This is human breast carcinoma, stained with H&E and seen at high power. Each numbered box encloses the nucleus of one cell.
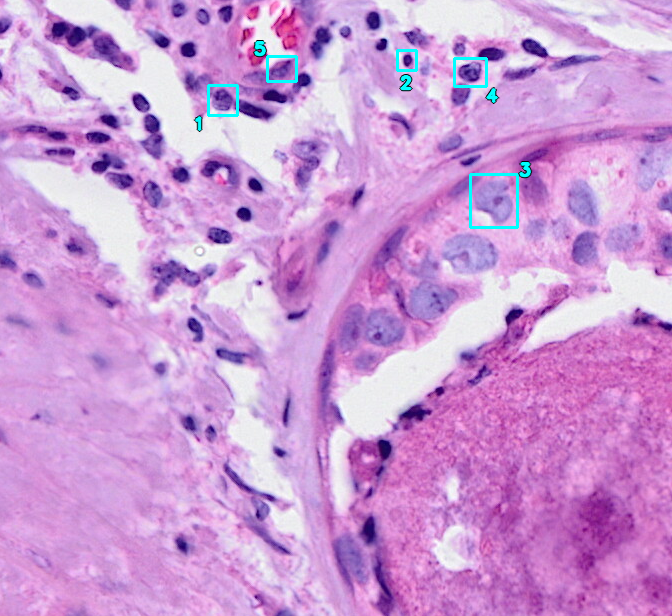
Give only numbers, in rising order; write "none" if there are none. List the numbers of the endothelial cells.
5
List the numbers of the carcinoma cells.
3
